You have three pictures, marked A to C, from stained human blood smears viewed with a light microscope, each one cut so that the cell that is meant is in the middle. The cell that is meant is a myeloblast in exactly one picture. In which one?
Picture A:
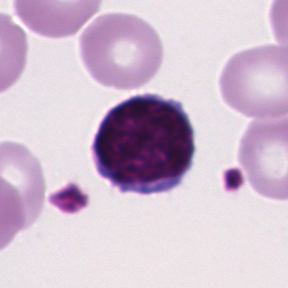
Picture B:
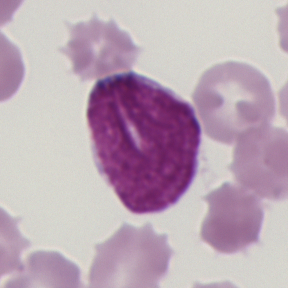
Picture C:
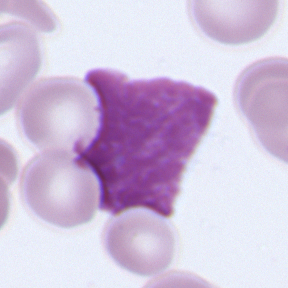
B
